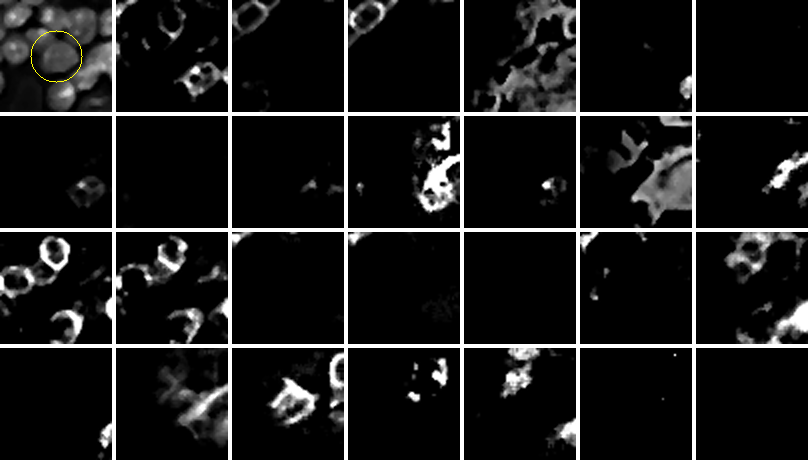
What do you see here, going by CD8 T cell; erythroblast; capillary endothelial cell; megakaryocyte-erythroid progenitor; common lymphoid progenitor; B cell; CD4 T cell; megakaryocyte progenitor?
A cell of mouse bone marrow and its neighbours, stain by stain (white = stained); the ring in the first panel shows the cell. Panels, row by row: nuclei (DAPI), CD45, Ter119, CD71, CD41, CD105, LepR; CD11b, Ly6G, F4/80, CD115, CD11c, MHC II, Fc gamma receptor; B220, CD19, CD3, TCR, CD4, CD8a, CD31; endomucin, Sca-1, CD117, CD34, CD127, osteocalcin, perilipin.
I see a megakaryocyte-erythroid progenitor.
